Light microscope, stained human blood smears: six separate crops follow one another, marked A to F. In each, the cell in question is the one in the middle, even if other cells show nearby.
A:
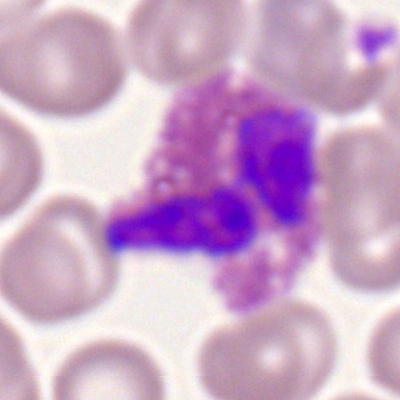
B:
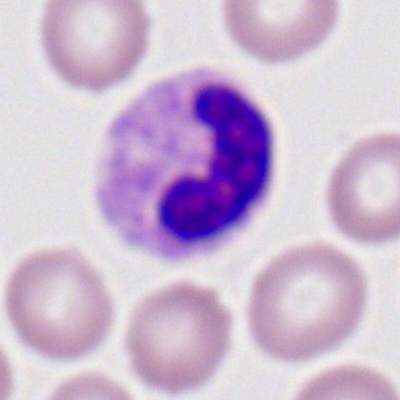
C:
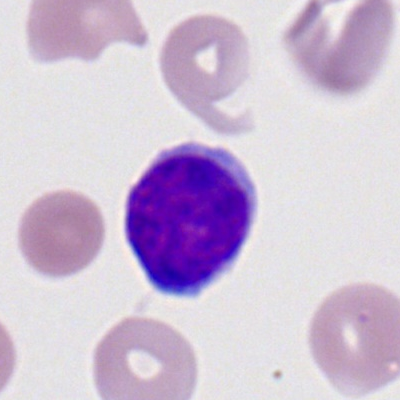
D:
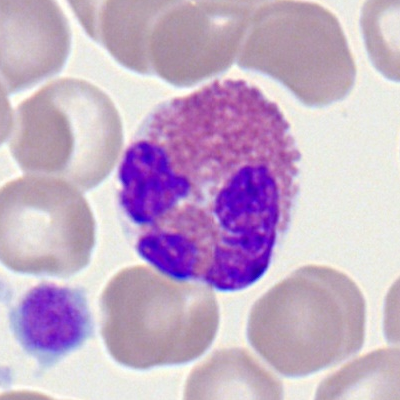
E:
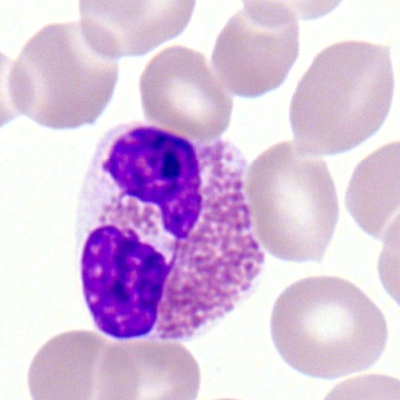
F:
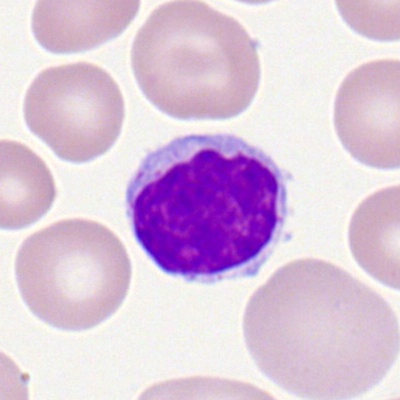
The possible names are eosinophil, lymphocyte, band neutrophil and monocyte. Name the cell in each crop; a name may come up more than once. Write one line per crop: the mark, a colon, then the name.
A: eosinophil
B: band neutrophil
C: lymphocyte
D: eosinophil
E: eosinophil
F: lymphocyte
